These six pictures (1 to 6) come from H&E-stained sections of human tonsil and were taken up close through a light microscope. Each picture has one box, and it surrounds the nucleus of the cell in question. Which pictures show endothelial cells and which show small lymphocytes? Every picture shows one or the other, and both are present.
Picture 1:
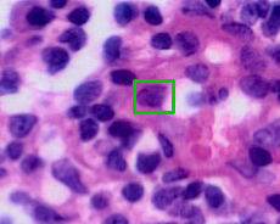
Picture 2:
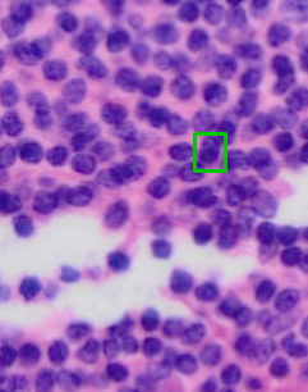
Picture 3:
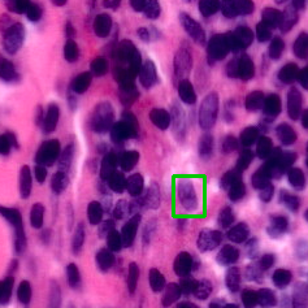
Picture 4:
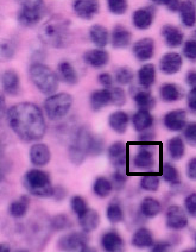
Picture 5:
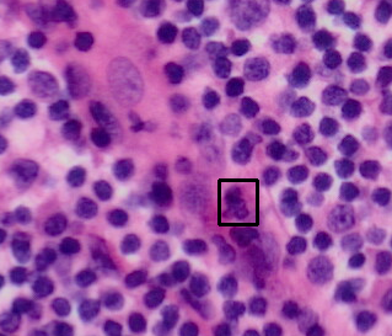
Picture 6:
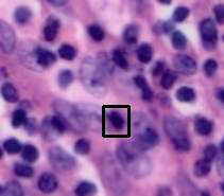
1: endothelial cell
2: small lymphocyte
3: endothelial cell
4: small lymphocyte
5: endothelial cell
6: endothelial cell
